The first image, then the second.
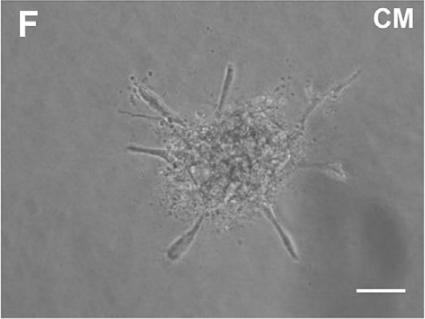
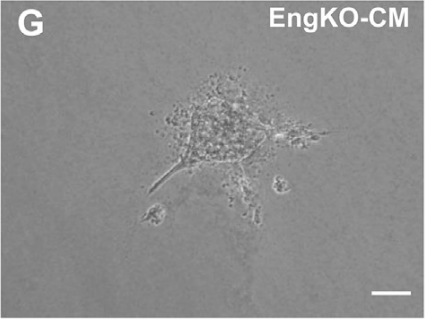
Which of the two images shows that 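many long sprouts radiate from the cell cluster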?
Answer: The first image.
